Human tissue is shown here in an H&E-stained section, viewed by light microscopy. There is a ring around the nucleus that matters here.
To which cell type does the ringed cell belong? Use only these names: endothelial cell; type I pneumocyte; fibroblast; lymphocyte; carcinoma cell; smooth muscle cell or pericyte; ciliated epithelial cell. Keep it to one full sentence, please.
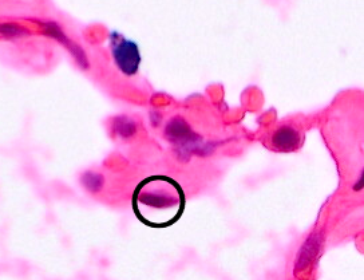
The cell type of the ringed cell is that of a type I pneumocyte.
